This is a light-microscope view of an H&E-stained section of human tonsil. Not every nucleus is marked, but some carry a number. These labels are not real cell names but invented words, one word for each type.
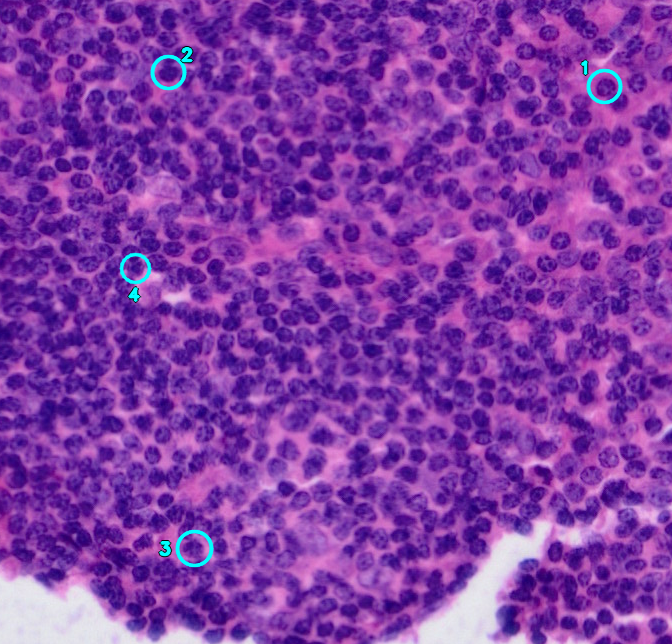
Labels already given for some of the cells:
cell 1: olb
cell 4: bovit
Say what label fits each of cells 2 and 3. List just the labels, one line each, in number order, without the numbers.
bovit
bovit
